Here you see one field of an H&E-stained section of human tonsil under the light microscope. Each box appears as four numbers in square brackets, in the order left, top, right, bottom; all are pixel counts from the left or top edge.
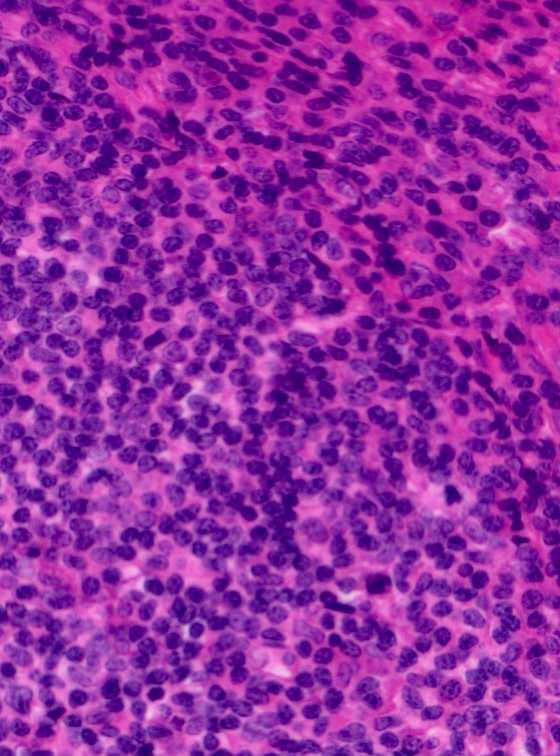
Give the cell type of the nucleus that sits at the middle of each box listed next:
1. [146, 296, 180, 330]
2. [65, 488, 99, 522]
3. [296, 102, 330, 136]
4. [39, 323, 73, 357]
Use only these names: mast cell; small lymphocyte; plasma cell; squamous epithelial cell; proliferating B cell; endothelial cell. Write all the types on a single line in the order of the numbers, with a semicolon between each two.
small lymphocyte; small lymphocyte; plasma cell; small lymphocyte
